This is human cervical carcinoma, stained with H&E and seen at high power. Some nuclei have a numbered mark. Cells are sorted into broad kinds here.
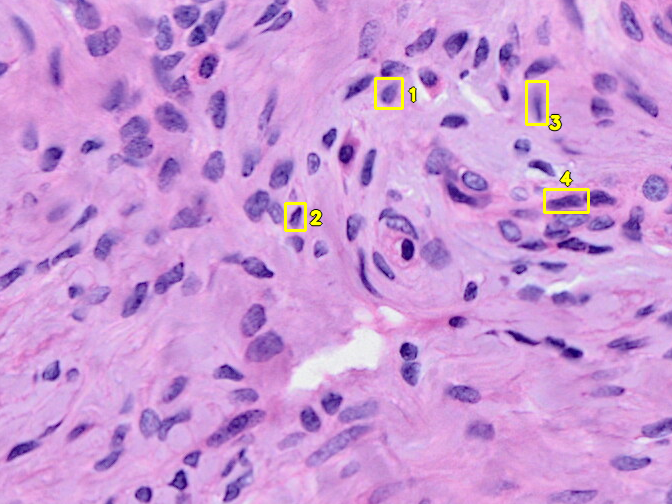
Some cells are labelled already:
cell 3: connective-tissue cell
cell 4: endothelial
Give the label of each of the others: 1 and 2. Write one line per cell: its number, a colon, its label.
1: connective-tissue cell
2: connective-tissue cell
